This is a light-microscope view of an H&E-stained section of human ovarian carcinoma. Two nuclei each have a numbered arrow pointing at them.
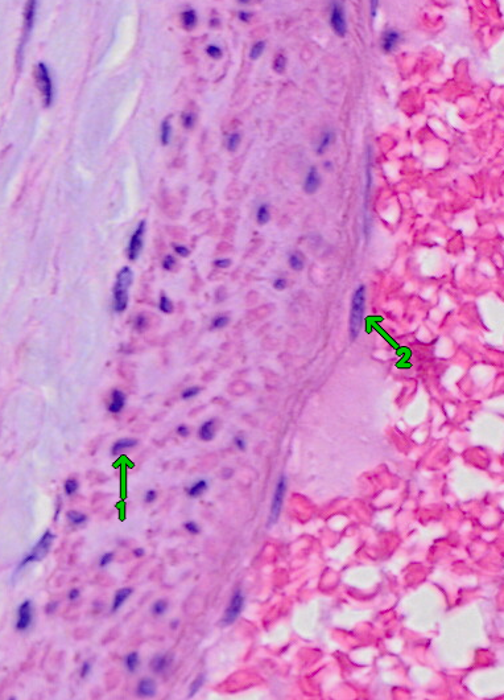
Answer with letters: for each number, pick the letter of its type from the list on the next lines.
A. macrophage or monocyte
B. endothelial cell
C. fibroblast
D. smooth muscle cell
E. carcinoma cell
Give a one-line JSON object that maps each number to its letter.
{"1": "D", "2": "B"}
